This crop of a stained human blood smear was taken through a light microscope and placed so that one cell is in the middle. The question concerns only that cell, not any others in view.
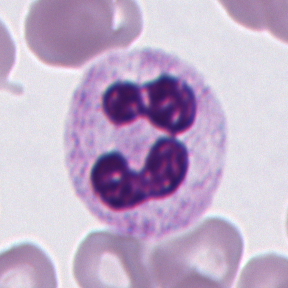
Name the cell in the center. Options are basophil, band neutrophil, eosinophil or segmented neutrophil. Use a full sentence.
On this slide crop, the central cell is a segmented neutrophil.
